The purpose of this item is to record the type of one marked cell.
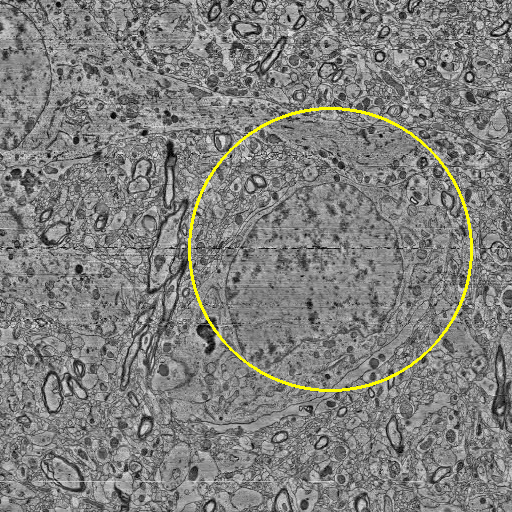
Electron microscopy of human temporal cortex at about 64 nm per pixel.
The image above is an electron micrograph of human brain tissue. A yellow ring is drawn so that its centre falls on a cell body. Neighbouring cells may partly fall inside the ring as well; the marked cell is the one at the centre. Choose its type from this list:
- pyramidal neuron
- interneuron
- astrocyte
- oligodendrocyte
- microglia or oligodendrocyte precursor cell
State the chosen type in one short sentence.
What the ring marks here is an interneuron.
